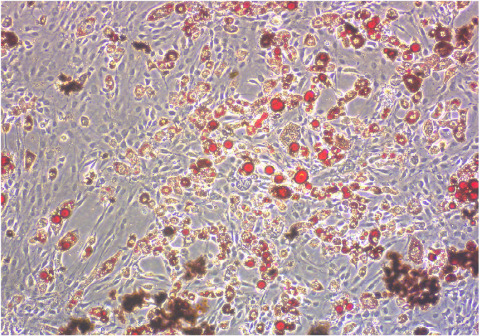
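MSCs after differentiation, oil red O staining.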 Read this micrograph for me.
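Many rounded cells hold red droplets of differing sizes, some single and large, others clustered in groups within one cell. Between them lies a layer of flat, elongated, unstained cells with pale cytoplasm and faint outlines. A few dark brown clumps of cells or debris are scattered across the field, most visibly near the lower right.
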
